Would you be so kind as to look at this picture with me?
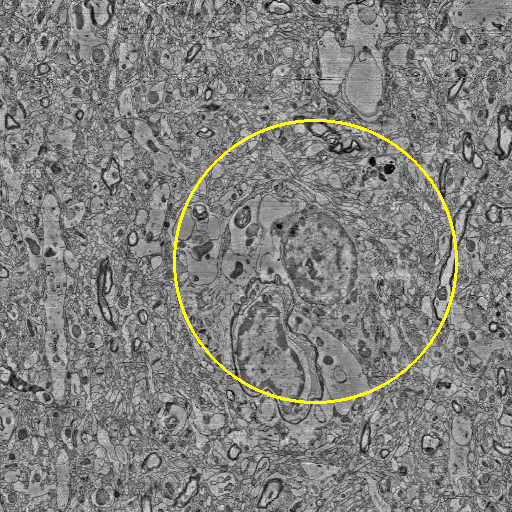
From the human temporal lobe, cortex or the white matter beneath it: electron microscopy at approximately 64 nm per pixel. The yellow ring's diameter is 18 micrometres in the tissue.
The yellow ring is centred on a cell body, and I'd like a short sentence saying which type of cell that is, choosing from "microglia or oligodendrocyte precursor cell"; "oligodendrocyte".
The cell body in the ring belongs to an oligodendrocyte.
